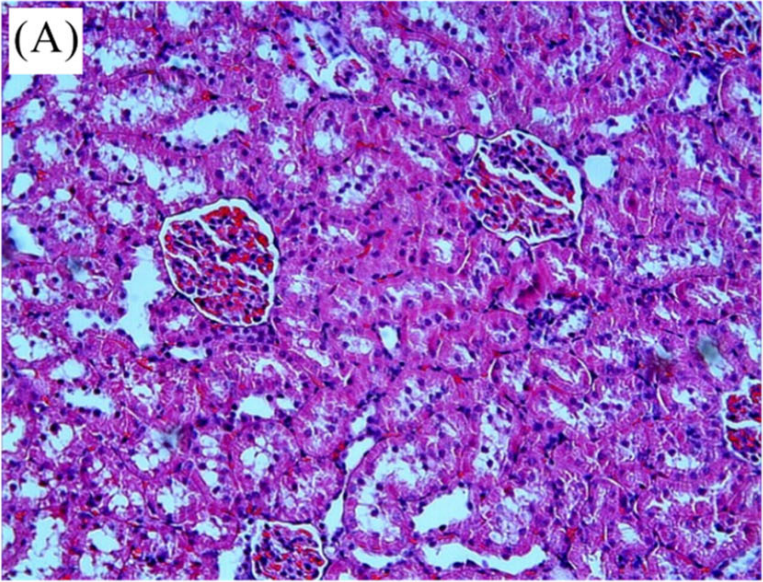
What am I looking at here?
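This is kidney cortex at lower magnification, showing several glomeruli scattered among densely packed tubules. Each glomerulus is a rounded tuft of capillaries with red blood cells and purple nuclei, surrounded by a clear space and a thin capsule. The tubules are cut in cross and oblique section and are lined by cuboidal cells with pink cytoplasm and dark round nuclei. Many tubule lumina are open and pale, some with faint wispy contents. Thin strands of interstitium with small red-filled capillaries run between the tubules.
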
